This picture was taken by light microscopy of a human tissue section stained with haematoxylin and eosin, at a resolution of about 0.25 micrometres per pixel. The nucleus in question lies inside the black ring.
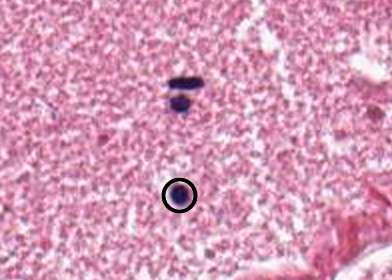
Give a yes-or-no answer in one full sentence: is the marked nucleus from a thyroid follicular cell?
No, the marked nucleus is contained in a supporting cell and not in a thyroid follicular cell.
